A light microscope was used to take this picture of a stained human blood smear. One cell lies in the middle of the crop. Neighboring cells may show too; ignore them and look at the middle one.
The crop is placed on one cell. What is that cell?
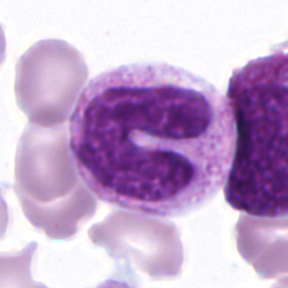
band neutrophil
